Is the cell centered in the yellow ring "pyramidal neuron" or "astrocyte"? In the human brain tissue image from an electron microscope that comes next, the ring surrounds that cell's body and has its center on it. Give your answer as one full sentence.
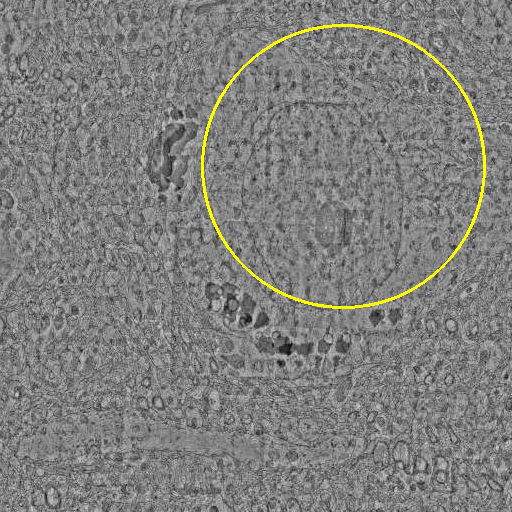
The cell at the center of the yellow ring is a pyramidal neuron in the micrograph.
